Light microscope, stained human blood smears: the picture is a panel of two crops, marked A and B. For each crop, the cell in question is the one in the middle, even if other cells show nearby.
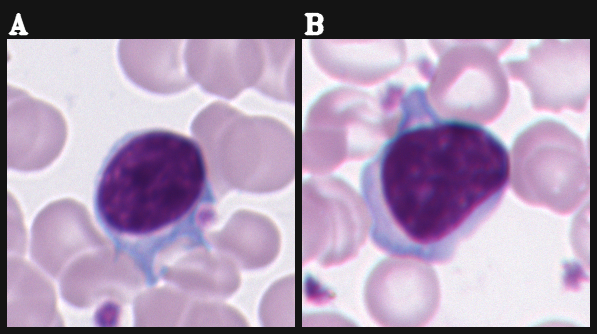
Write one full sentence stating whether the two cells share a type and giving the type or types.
Yes, it is typical lymphocytes that sit at the centre of both crops.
